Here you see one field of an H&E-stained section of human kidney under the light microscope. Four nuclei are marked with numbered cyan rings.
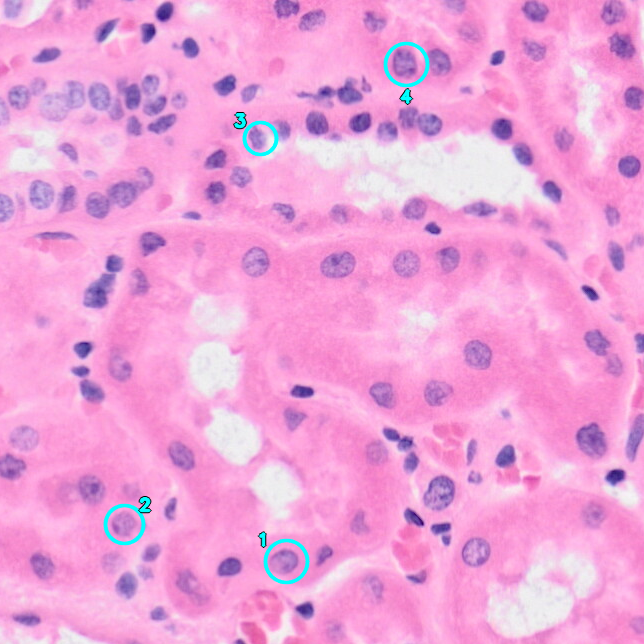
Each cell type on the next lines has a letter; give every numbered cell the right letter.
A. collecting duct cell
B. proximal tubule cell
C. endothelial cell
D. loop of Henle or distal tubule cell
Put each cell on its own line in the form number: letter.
1: B
2: B
3: D
4: B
